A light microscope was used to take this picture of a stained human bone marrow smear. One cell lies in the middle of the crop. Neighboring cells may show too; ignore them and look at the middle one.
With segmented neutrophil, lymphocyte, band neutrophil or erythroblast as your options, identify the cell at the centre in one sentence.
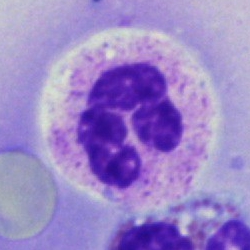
The cell at the middle of the frame should be recorded as a segmented neutrophil.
